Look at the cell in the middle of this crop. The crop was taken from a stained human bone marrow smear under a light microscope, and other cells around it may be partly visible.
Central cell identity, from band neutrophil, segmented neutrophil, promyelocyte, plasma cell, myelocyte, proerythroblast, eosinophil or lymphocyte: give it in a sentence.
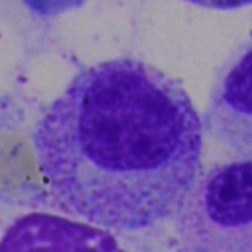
In this smear crop, the middle cell is a myelocyte.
